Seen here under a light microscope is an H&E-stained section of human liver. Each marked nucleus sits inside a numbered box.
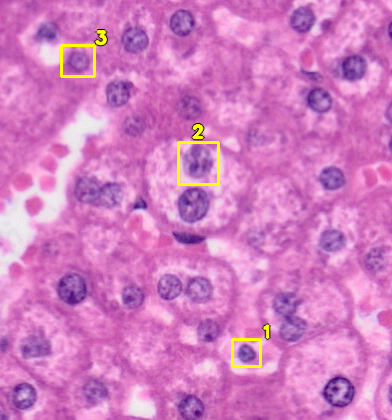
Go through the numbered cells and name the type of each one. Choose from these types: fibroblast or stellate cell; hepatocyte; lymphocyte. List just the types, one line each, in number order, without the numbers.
lymphocyte
hepatocyte
hepatocyte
